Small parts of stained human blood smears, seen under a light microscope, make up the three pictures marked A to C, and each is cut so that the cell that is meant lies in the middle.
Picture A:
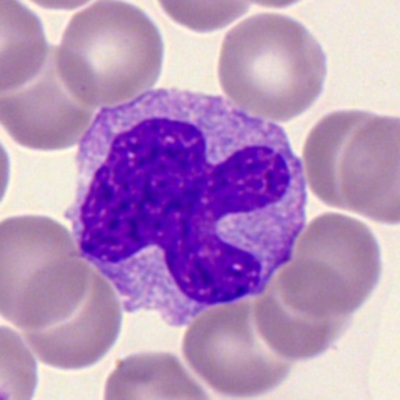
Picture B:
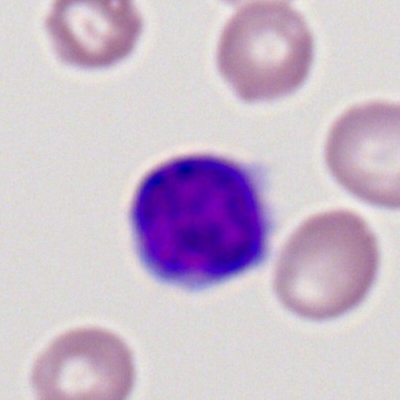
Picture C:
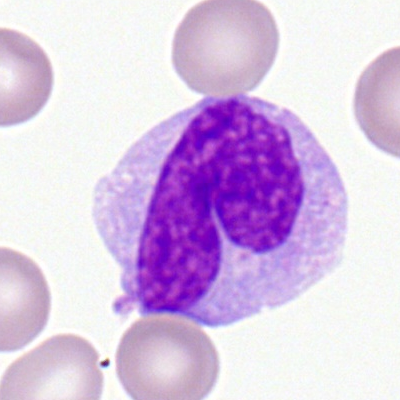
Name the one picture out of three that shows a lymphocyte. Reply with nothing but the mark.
B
